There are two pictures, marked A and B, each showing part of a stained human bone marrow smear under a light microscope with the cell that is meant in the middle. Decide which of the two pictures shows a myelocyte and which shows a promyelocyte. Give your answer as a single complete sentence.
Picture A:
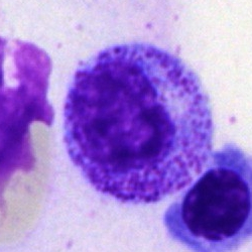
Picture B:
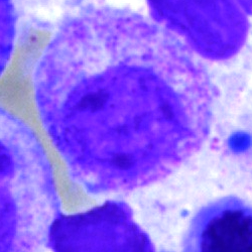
Picture B shows a myelocyte, while picture A shows a promyelocyte.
